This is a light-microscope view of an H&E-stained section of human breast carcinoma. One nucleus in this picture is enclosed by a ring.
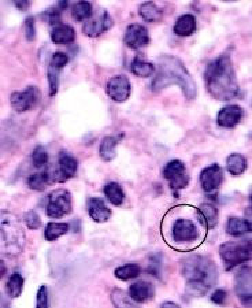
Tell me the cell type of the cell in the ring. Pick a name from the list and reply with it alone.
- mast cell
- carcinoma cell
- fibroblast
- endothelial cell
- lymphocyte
lymphocyte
